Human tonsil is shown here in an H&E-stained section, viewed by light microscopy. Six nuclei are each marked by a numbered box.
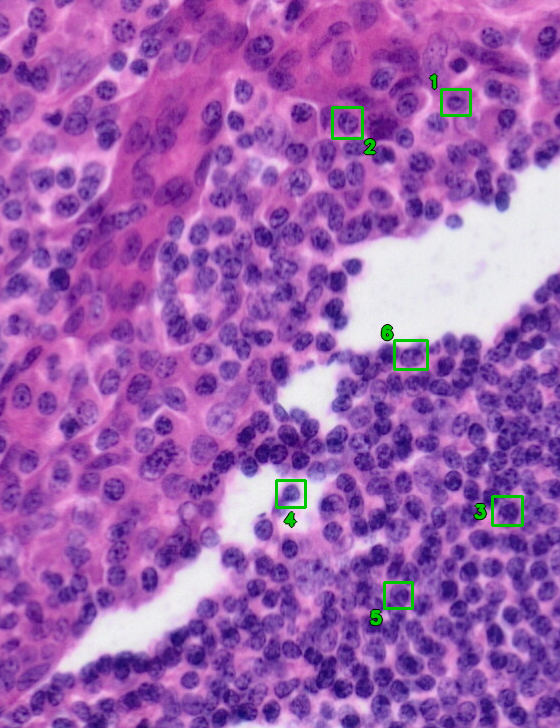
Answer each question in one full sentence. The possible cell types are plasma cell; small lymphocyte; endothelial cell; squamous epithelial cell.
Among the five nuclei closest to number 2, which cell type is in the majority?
Around number 2, most of the five nearest nuclei are those of squamous epithelial cells.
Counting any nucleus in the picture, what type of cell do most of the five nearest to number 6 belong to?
Small lymphocytes account for more than half of the five nuclei nearest to number 6.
